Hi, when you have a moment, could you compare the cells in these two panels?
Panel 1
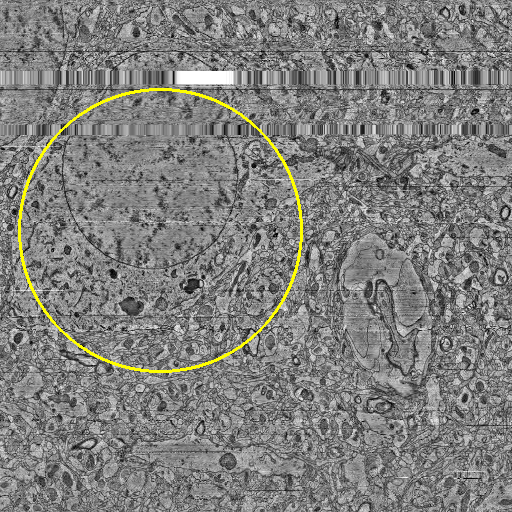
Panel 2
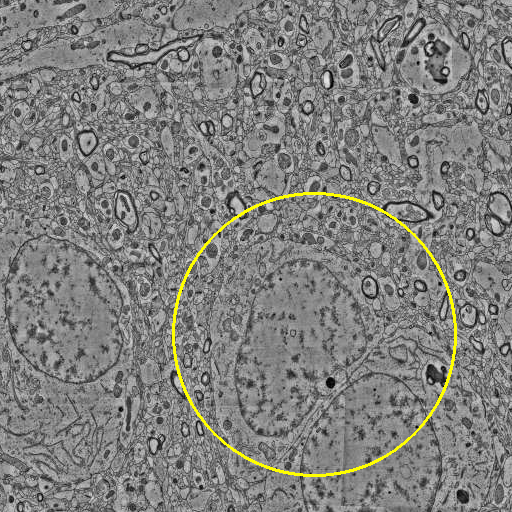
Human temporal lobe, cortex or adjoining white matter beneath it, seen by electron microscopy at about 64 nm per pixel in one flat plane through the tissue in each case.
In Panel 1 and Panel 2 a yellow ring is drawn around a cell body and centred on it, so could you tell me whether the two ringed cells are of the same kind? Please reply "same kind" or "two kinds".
two kinds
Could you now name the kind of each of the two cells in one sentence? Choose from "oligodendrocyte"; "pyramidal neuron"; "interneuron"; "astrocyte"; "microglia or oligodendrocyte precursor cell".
The first ring encloses a pyramidal neuron; the second ring encloses an interneuron.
